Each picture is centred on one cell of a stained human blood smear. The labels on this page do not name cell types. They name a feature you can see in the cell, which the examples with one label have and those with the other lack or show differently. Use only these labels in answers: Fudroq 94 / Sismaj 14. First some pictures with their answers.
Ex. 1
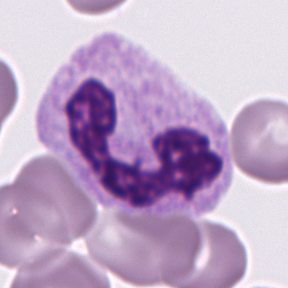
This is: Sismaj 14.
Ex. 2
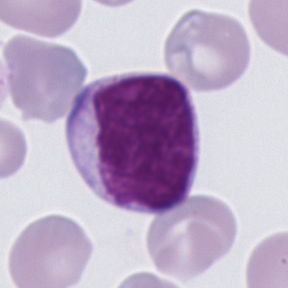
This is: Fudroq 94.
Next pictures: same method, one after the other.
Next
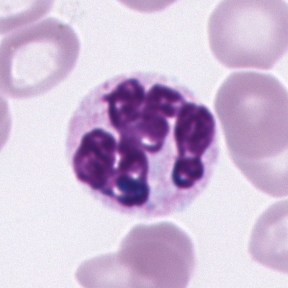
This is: Fudroq 94.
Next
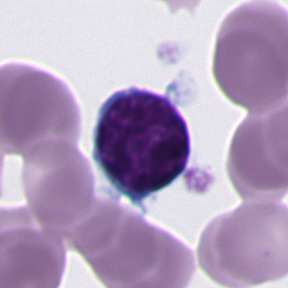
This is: Sismaj 14.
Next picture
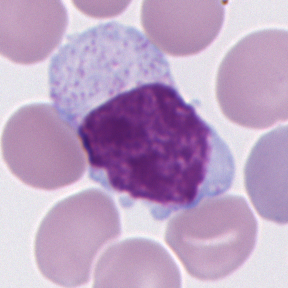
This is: Sismaj 14.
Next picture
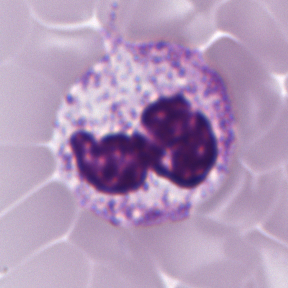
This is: Sismaj 14.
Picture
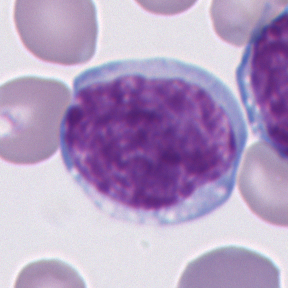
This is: Fudroq 94.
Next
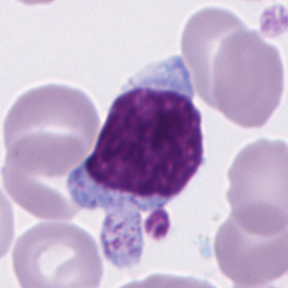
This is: Sismaj 14.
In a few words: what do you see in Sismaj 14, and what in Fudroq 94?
Seen in Sismaj 14: ragged outline or projections; seen in Fudroq 94: smooth outline.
